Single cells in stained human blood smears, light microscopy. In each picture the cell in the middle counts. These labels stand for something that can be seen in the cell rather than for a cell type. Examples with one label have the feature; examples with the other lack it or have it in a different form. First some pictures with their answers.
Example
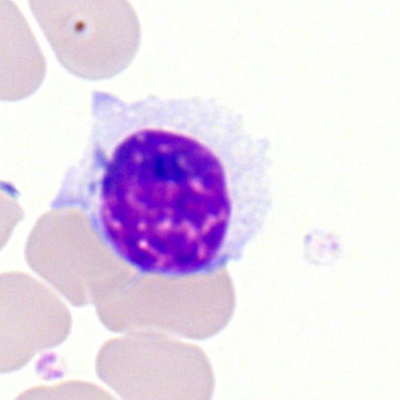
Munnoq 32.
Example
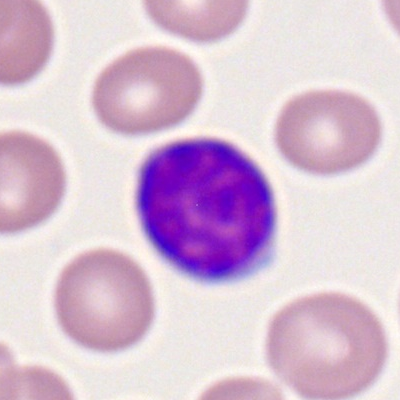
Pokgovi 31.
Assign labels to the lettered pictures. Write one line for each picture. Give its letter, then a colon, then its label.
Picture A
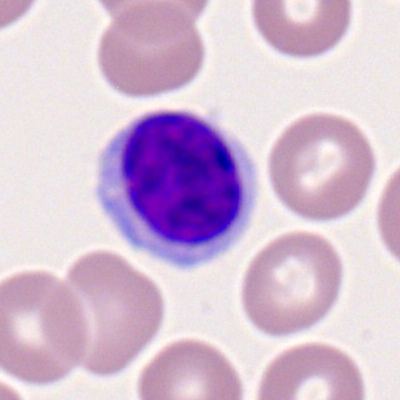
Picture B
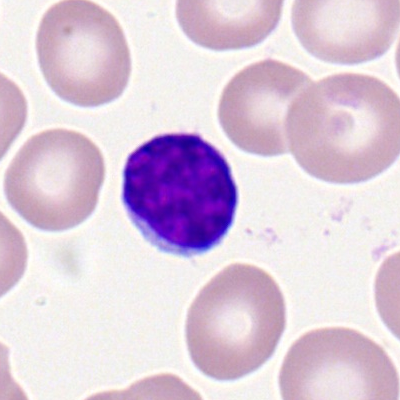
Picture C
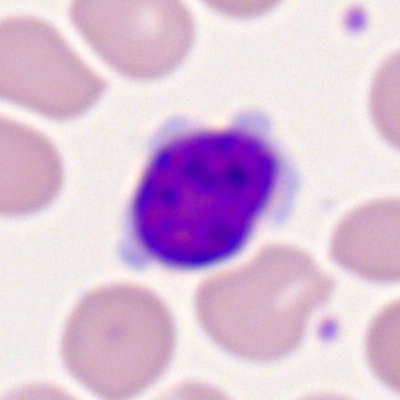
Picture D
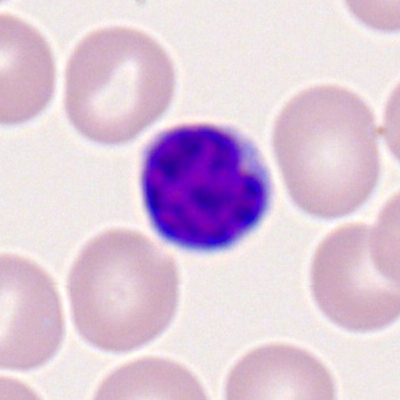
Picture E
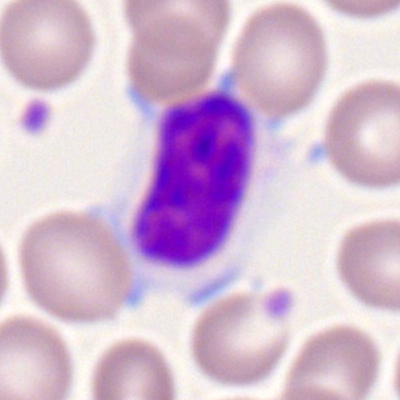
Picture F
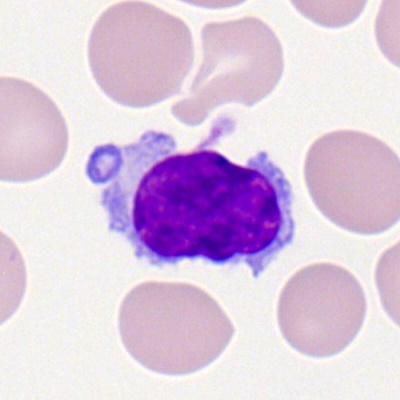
A: Pokgovi 31.
B: Pokgovi 31.
C: Munnoq 32.
D: Pokgovi 31.
E: Munnoq 32.
F: Munnoq 32.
